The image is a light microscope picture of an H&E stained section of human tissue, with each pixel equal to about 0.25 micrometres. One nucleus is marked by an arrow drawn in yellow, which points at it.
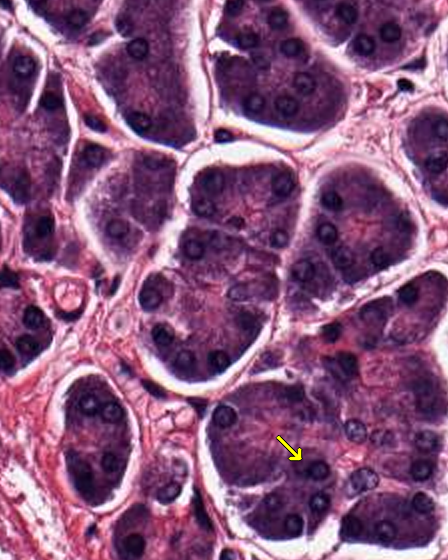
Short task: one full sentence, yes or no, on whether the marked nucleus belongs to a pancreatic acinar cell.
Yes, in this image it is a pancreatic acinar cell that contains the marked nucleus.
